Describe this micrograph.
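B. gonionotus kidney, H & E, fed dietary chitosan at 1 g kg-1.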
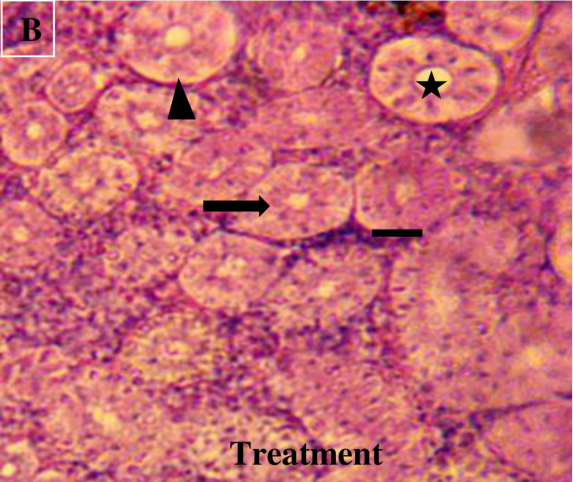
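Inside each profile the lining cells have pale pink cytoplasm arranged around a lighter central area, with small dark nuclei along the wall. Between the profiles lies darker purple tissue crowded with small nuclei.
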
